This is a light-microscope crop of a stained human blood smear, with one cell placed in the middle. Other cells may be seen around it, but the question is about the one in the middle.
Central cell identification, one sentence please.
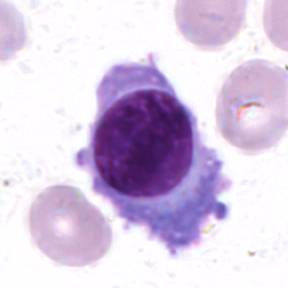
The centrally located cell in the crop is a plasma cell.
